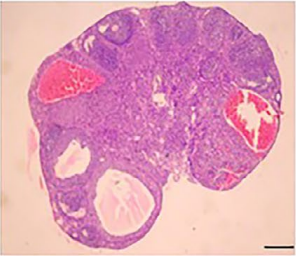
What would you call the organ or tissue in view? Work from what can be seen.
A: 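A rounded organ section packed with many round follicle-like structures of varying size. Several large round cavities filled with fluid, some with pink-red content. Small rounded structures with a central cell and surrounding cell layers near the periphery. On this evidence: ovaries.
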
